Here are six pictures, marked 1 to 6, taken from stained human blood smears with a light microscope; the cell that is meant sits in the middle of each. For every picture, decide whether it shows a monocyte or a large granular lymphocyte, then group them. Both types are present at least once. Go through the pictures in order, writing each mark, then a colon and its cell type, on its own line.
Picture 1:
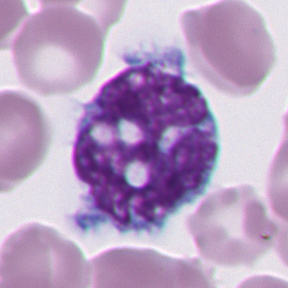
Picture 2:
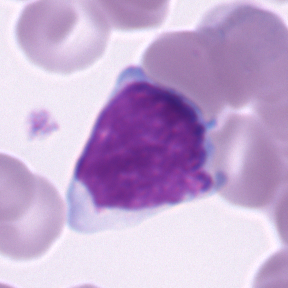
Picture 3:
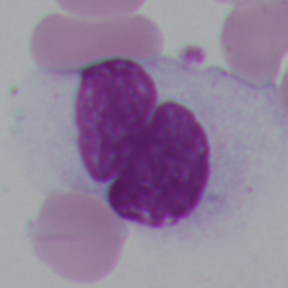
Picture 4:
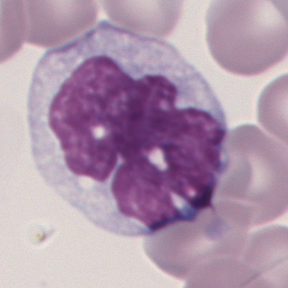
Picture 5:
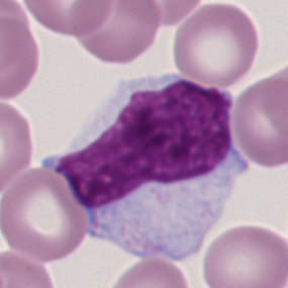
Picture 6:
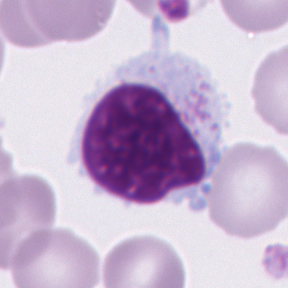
1: monocyte
2: large granular lymphocyte
3: monocyte
4: monocyte
5: monocyte
6: large granular lymphocyte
